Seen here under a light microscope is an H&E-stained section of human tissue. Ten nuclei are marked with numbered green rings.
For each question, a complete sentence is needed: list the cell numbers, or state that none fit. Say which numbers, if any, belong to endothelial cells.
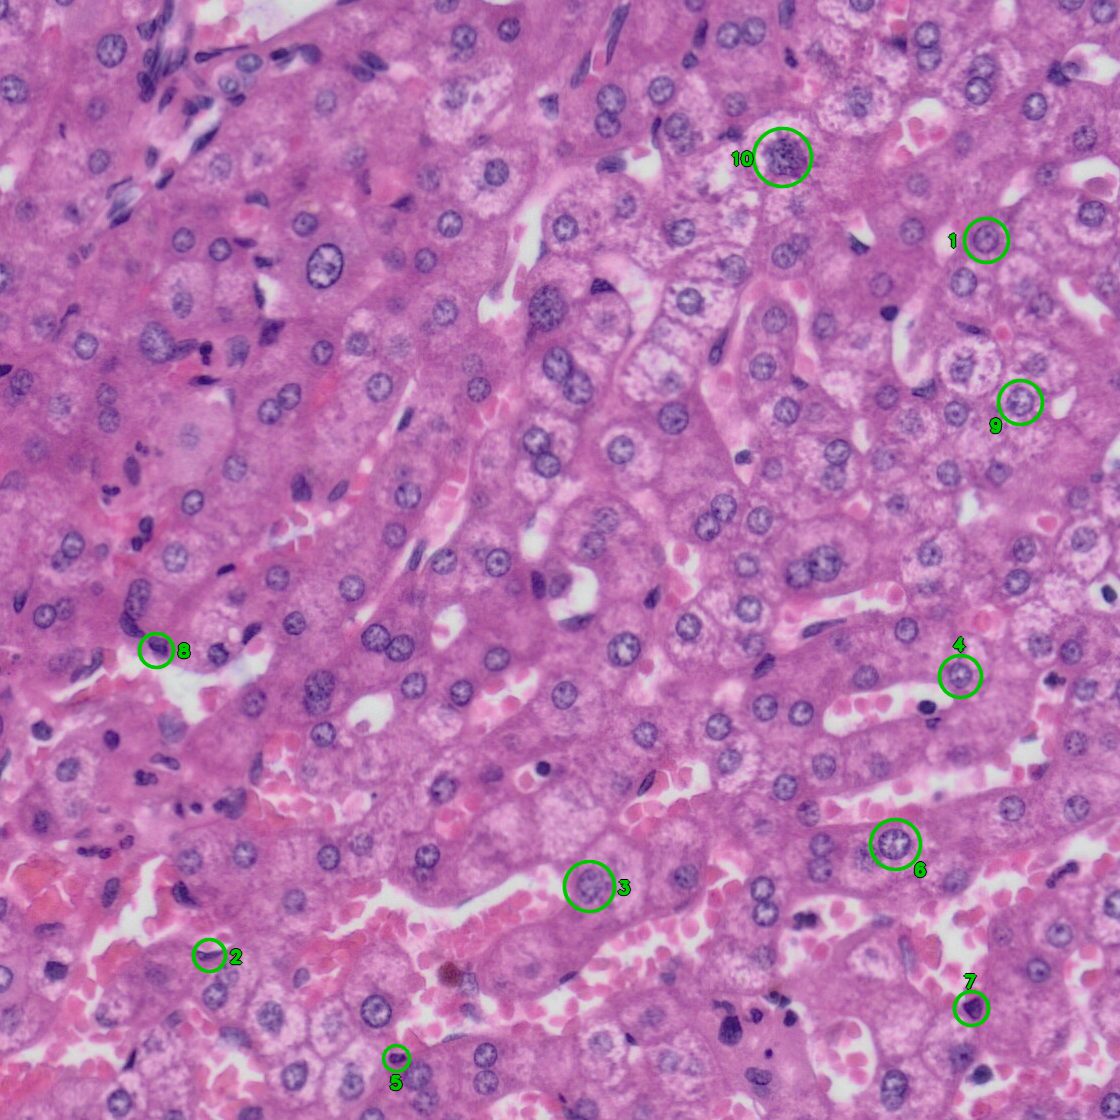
Cell 2 is the single numbered cell that is an endothelial cell.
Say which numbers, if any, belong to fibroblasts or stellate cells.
On this slide, the cells numbered 5, 7 and 8 are fibroblasts or stellate cells.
